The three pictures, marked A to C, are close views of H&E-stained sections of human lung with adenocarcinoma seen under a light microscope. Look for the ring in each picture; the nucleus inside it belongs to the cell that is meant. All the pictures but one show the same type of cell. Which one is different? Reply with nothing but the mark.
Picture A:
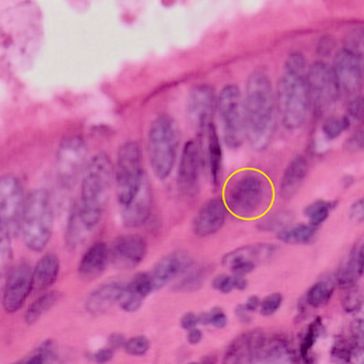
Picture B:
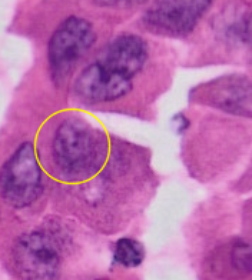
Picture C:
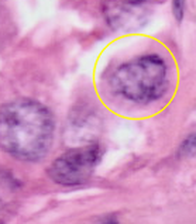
A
